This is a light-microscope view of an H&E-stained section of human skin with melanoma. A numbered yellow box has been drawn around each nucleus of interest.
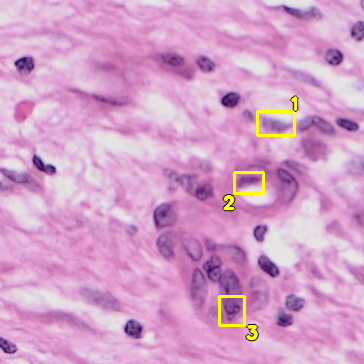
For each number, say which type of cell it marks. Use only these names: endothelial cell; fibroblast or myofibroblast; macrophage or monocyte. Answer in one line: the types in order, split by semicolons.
fibroblast or myofibroblast; endothelial cell; endothelial cell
